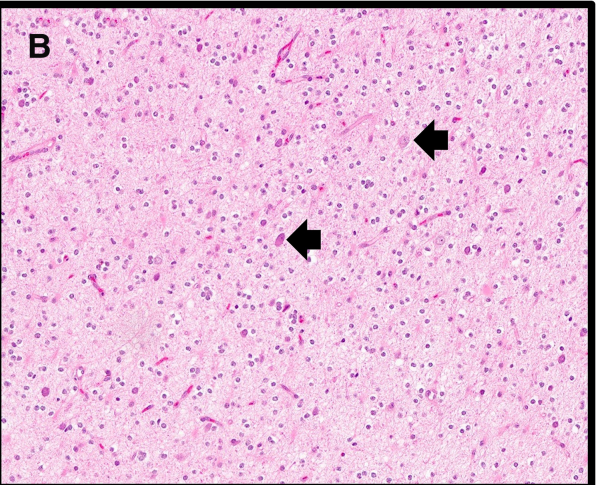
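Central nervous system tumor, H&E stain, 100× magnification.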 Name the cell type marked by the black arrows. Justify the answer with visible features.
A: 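The marked cells are larger than the surrounding cells. They have more pink cytoplasm around a round nucleus.
Hence: neurons.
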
